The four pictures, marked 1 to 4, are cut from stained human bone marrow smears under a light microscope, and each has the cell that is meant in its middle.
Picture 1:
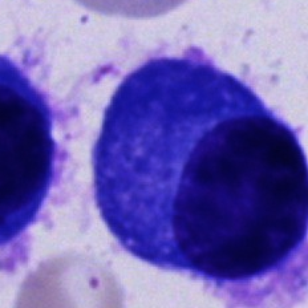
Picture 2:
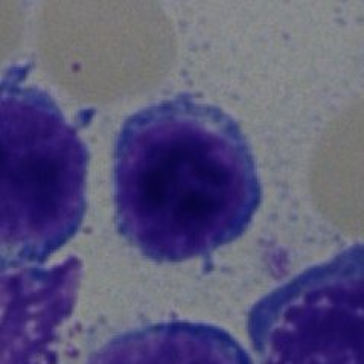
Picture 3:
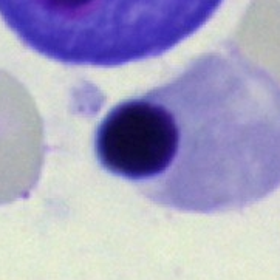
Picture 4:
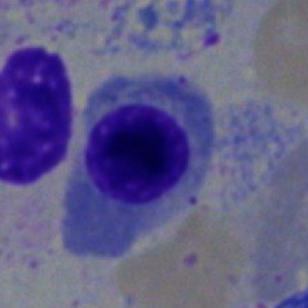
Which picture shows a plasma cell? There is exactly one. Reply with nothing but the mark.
1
